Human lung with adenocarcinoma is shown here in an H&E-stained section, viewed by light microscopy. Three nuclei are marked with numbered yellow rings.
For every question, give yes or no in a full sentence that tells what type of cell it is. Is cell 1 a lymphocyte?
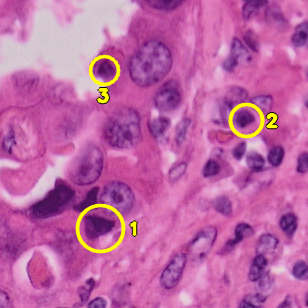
No, number 1 marks a carcinoma cell rather than a lymphocyte.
